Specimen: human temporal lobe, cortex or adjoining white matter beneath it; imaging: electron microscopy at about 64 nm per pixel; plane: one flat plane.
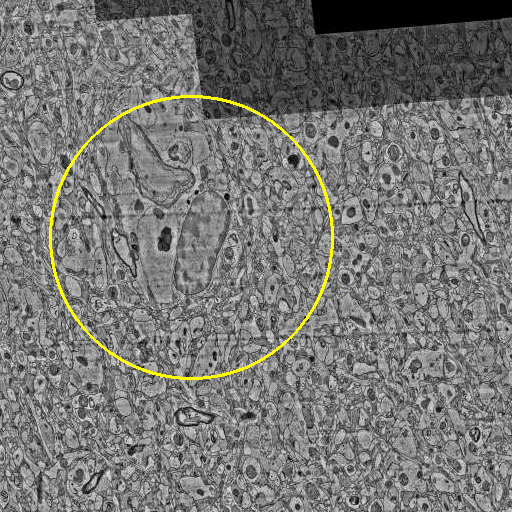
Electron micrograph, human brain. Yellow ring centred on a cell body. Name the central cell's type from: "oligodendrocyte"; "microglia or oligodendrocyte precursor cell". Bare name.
microglia or oligodendrocyte precursor cell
